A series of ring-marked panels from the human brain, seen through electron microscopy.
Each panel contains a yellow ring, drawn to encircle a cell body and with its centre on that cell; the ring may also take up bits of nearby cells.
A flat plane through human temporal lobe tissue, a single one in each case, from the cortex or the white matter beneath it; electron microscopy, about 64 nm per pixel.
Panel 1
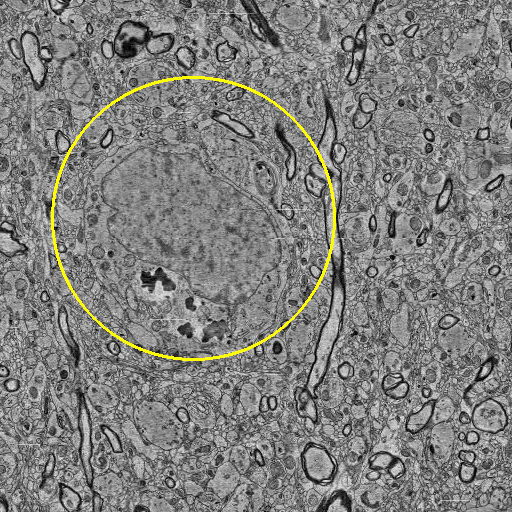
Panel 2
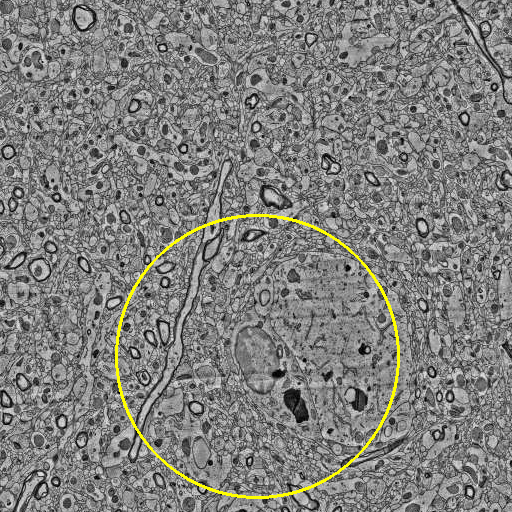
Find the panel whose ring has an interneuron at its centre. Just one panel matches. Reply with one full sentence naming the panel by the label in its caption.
The sought cell lies at the centre of the ring shown in Panel 1.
